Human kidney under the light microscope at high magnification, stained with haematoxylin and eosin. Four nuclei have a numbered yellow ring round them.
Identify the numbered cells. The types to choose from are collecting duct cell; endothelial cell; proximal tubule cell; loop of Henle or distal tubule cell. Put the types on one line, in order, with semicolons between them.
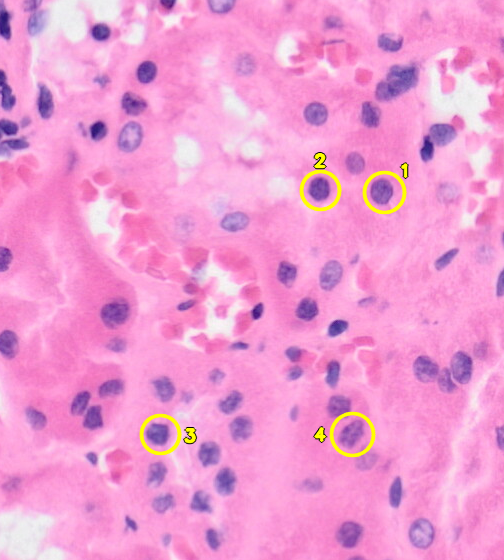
proximal tubule cell; proximal tubule cell; loop of Henle or distal tubule cell; proximal tubule cell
